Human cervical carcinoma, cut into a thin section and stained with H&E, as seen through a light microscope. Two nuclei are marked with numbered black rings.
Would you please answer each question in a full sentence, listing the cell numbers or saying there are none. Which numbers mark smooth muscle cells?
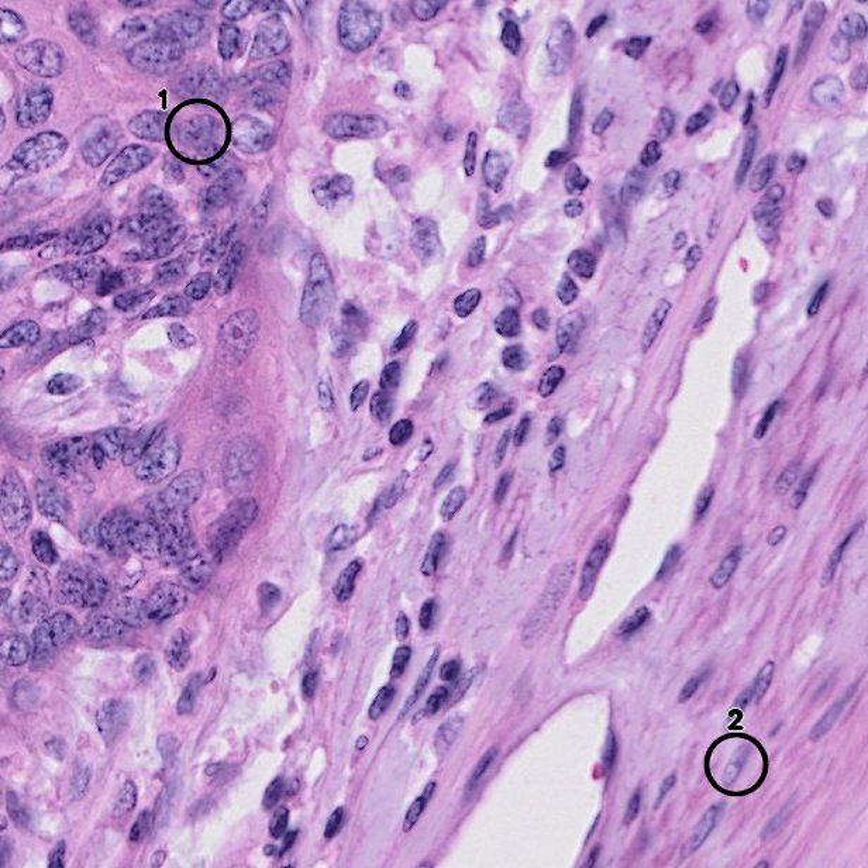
Cell 2 is the single numbered cell that is a smooth muscle cell.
